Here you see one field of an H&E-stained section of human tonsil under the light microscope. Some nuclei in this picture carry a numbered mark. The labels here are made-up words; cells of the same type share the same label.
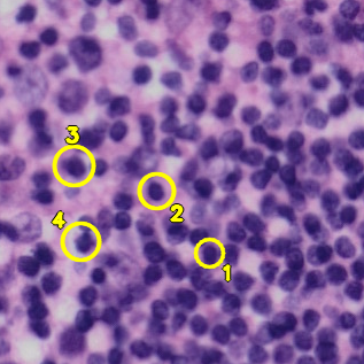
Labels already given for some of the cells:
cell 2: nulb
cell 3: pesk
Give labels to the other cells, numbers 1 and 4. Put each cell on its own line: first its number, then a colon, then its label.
1: nulb
4: nulb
